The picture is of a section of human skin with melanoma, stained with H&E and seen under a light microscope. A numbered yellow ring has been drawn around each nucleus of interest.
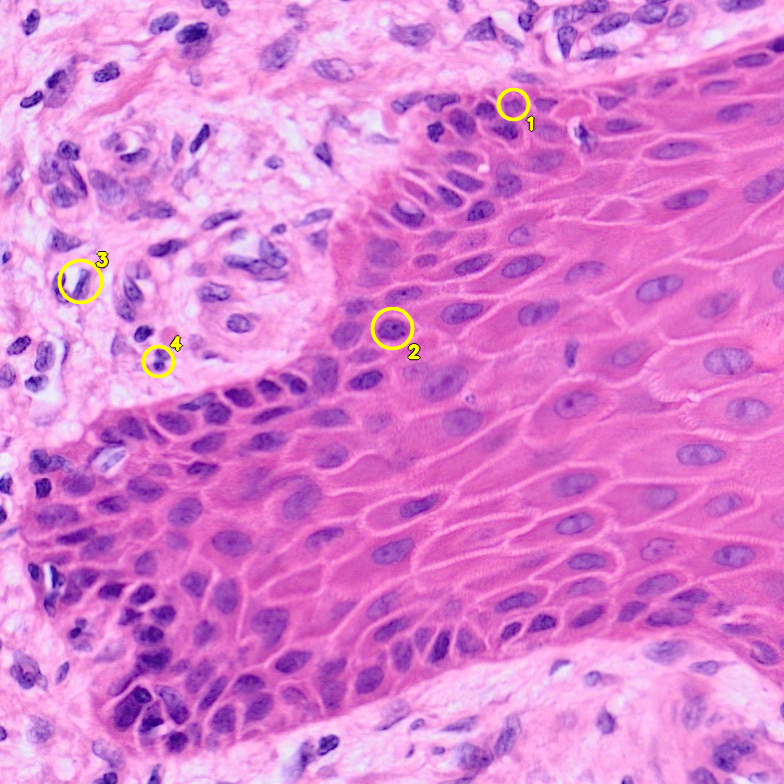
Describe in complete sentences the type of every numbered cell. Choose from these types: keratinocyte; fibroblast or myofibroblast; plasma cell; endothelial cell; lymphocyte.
Cell 1 is a keratinocyte, cell 2 is a keratinocyte, cell 3 is a fibroblast or myofibroblast and cell 4 is a lymphocyte.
